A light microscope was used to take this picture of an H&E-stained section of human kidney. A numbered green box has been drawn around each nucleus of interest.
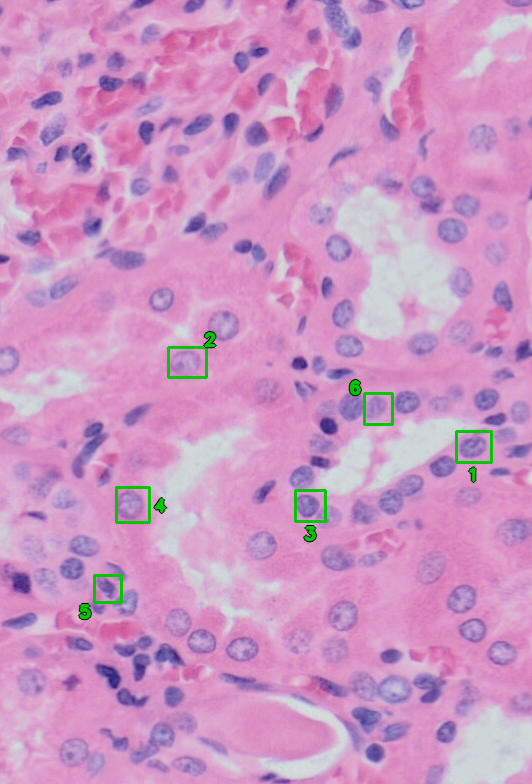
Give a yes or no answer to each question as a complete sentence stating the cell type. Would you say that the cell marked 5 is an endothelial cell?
Yes, the cell that bears the number 5 is an endothelial cell.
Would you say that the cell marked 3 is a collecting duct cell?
Yes, the cell at the mark numbered 3 is a collecting duct cell.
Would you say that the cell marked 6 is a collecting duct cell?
Yes, it is a collecting duct cell that carries the number 6.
